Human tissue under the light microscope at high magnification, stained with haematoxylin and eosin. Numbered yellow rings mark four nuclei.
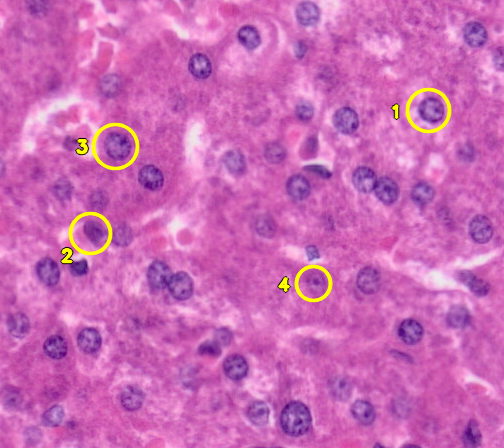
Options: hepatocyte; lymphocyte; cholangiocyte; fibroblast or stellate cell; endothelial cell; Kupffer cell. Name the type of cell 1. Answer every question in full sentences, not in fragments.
The cell identified by number 1 is a hepatocyte.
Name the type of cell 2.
Identified by the number 2, the cell is an endothelial cell.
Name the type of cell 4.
The cell with the number 4 is a hepatocyte.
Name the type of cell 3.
Identified as a hepatocyte is the cell bearing the number 3.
